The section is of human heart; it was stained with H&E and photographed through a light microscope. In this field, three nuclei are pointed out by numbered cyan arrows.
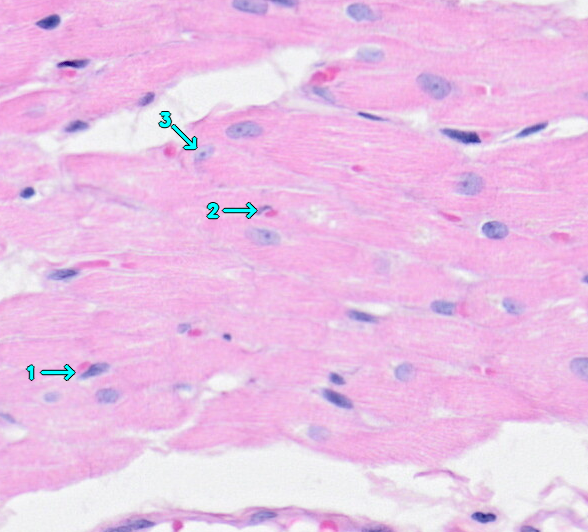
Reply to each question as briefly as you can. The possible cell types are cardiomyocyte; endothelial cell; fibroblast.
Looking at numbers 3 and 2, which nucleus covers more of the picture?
3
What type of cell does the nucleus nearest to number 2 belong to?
cardiomyocyte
